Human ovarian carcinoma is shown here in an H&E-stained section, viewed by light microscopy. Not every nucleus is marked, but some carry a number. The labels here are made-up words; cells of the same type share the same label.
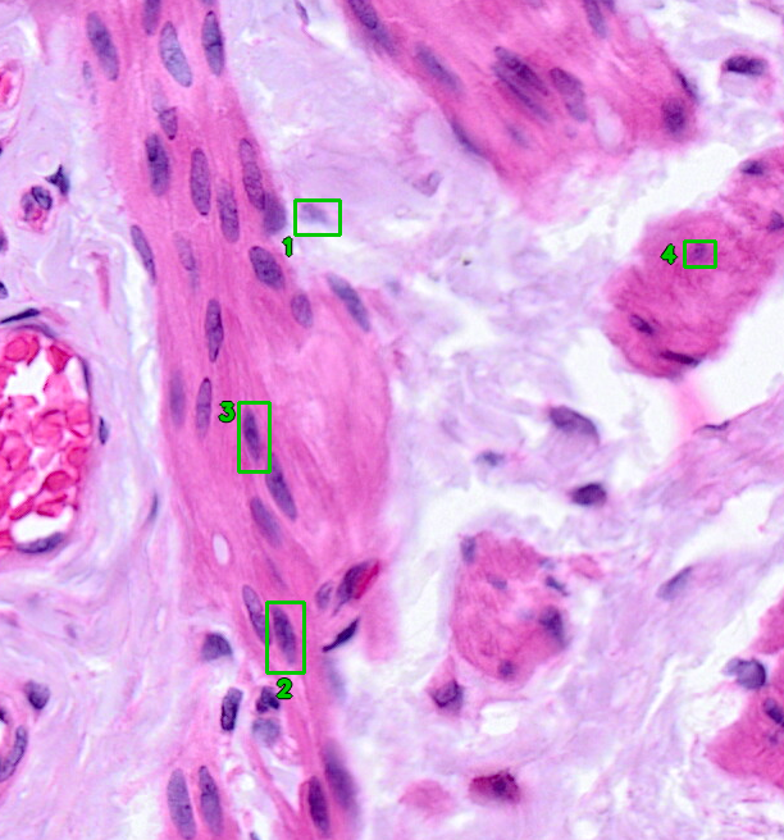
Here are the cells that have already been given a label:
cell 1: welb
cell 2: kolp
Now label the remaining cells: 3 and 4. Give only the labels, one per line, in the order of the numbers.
kolp
kolp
